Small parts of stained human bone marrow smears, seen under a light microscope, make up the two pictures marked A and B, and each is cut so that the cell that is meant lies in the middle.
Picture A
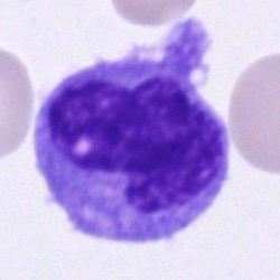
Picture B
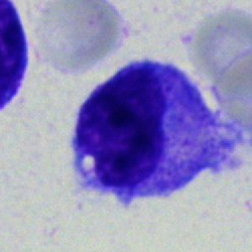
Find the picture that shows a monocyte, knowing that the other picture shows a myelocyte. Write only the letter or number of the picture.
A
